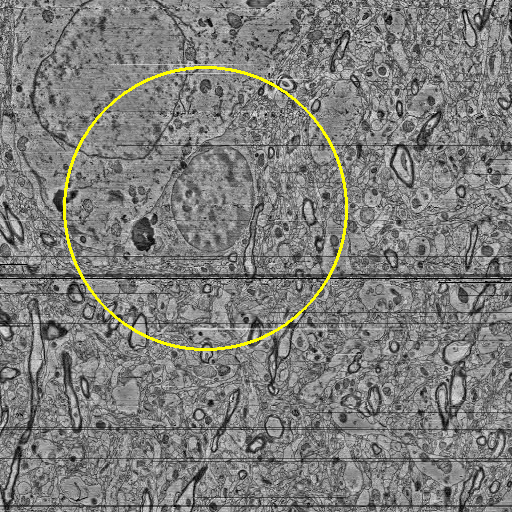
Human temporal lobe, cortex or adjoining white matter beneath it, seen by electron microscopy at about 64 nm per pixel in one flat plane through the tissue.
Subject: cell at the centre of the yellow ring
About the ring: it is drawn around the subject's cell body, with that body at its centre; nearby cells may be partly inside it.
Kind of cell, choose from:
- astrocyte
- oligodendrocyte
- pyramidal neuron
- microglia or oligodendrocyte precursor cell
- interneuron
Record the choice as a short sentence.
The subject cell is an oligodendrocyte.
